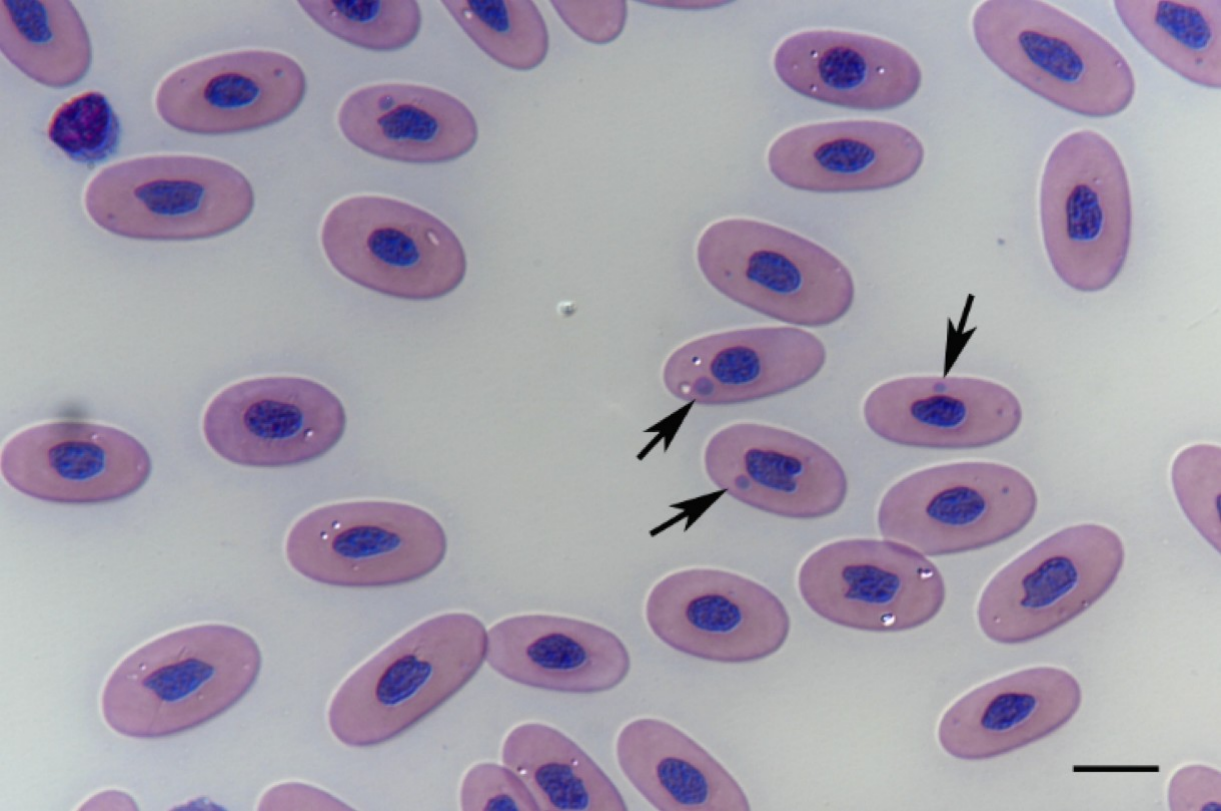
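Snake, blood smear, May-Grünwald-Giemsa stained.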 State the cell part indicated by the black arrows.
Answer: Intracytoplasmic inclusion bodies.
